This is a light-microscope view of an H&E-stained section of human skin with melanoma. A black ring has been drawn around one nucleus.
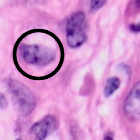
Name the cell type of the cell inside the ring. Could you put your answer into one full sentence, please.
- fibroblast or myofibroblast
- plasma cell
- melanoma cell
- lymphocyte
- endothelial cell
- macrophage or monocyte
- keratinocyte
The cell type of the cell inside the ring is that of an endothelial cell.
